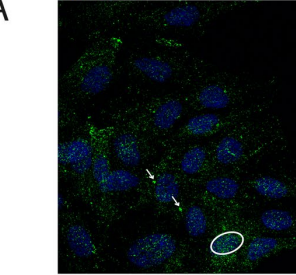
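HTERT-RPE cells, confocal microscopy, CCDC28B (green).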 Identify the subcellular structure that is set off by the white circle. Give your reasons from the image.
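The white oval encloses a round blue-stained body. Green dots are scattered over the blue area inside the oval. The answer: the nucleus.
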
